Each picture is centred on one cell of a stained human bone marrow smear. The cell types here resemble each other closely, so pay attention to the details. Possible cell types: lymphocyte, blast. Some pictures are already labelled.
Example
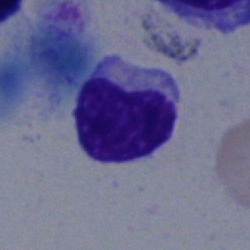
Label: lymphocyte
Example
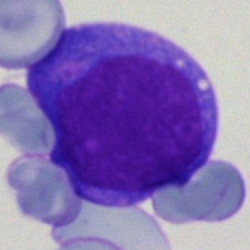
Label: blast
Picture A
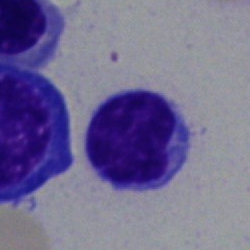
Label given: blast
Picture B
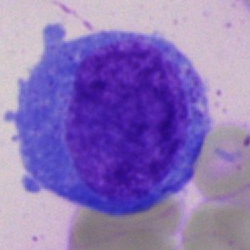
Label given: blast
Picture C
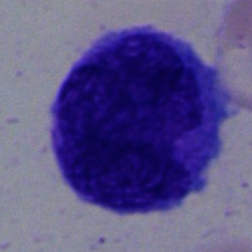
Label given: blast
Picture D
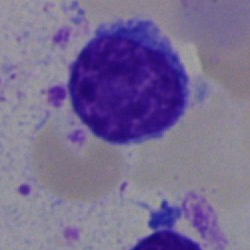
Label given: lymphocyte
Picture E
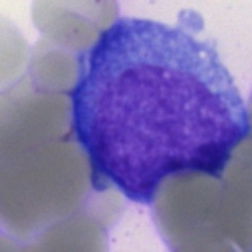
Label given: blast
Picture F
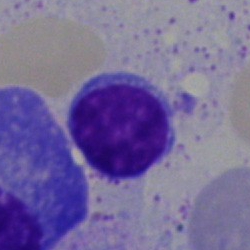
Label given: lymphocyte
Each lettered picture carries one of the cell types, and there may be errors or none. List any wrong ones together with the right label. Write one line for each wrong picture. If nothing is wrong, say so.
A should be lymphocyte, not blast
